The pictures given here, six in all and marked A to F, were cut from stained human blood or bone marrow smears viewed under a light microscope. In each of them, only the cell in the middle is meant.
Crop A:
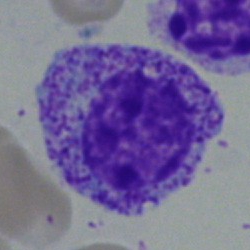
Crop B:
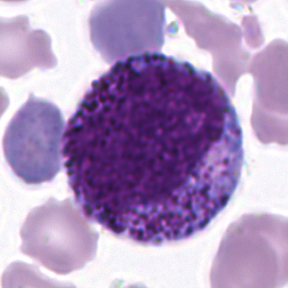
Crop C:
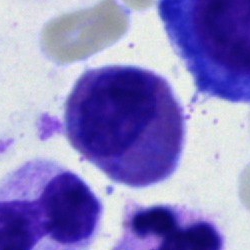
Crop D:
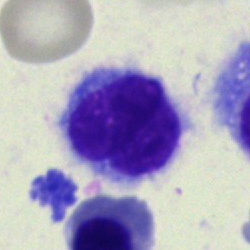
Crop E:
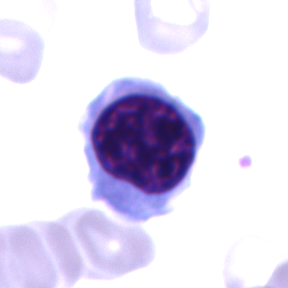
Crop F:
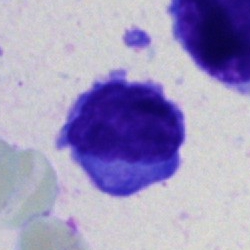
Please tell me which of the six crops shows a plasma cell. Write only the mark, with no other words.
F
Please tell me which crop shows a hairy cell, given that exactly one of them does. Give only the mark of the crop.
D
